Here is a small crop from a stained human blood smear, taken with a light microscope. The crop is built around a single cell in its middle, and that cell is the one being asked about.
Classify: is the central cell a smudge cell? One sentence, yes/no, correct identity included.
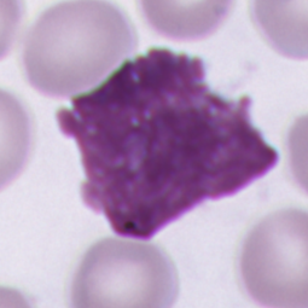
Yes, in the middle of the crop is a smudge cell.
